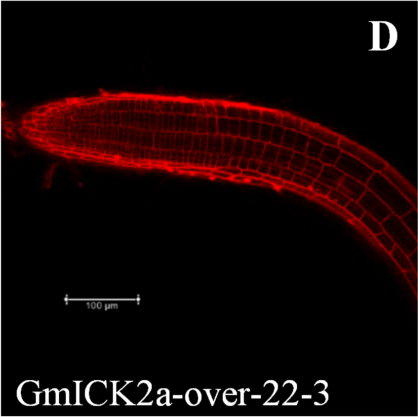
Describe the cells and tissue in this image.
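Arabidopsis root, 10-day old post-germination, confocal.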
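Root tip with the meristematic region and elongation zone, cell walls outlined in red. The rounded tip lies at the left and the root extends and curves toward the right. Cells form distinct longitudinal files and appear as clear rectangles, becoming longer away from the tip. The outermost cell layer is brightly outlined along the flanks.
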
